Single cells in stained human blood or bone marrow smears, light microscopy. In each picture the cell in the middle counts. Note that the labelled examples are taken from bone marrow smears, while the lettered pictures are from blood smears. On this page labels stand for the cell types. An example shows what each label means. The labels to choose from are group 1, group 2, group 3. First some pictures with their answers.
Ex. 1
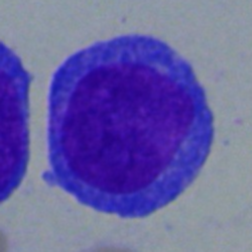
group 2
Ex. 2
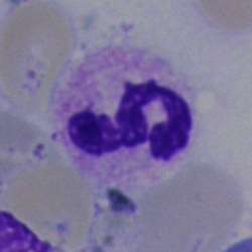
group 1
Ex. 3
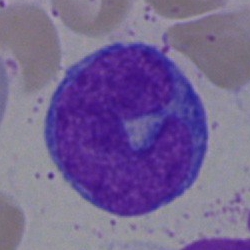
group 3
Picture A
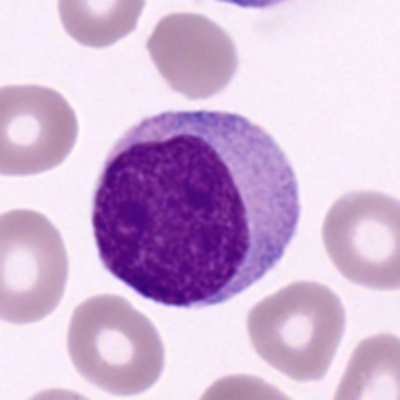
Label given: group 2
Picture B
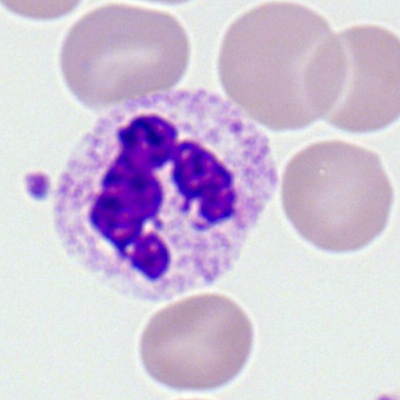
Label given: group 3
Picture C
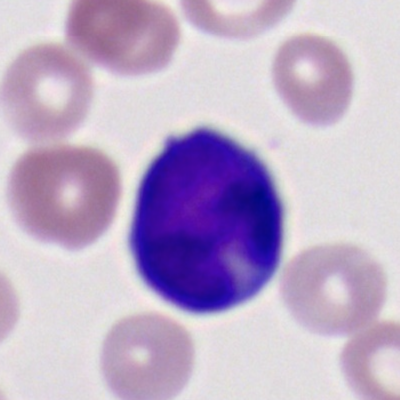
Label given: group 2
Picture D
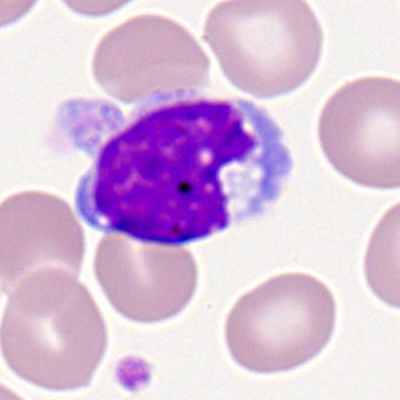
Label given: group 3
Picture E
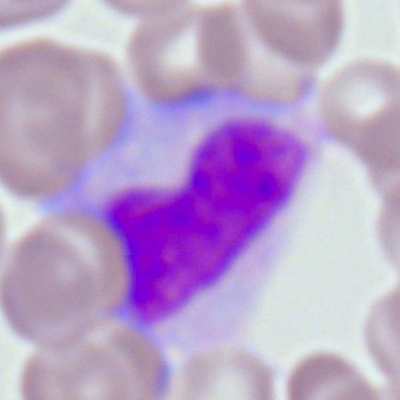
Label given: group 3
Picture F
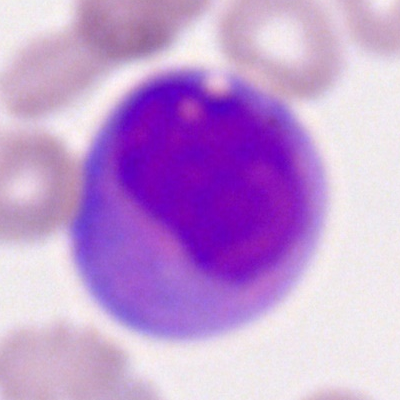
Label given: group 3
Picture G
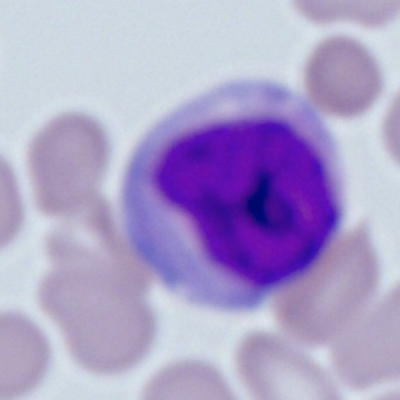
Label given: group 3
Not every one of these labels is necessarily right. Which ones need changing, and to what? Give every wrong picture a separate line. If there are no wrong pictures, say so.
B is labelled group 3; correct label: group 1
F is labelled group 3; correct label: group 2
